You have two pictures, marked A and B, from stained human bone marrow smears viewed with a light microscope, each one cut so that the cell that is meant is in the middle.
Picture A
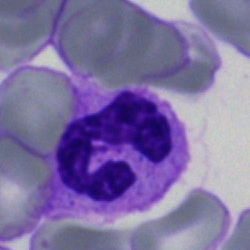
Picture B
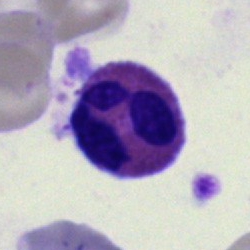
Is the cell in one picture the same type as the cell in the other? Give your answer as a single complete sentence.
No, they differ: the cell is a segmented neutrophil in picture A and an eosinophil in picture B.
